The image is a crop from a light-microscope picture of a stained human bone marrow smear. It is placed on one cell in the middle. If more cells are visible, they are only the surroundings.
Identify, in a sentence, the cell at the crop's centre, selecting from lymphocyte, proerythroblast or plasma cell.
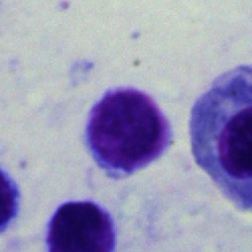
Here the cell in the middle is a lymphocyte.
